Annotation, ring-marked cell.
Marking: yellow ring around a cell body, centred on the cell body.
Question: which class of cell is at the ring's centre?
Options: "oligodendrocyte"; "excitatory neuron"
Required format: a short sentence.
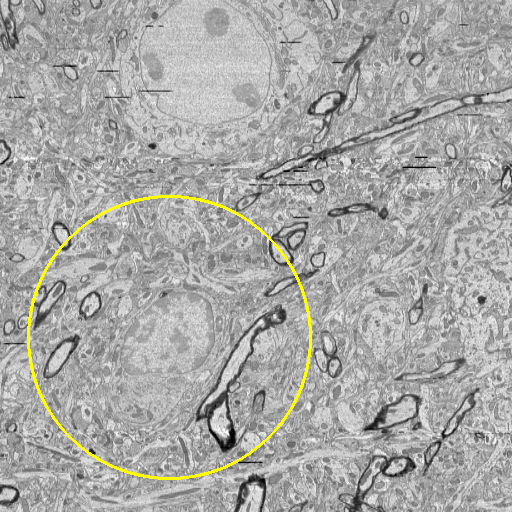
At the ring's centre is an oligodendrocyte.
